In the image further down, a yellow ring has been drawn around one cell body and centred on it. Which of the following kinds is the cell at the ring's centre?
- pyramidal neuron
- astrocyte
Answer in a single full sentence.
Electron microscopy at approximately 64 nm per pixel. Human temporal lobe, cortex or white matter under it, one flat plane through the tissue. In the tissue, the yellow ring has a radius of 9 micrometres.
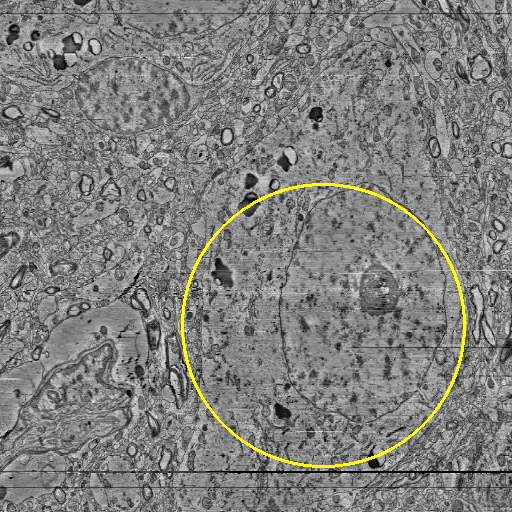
In the picture, the cell sitting at the centre of the yellow ring is a pyramidal neuron.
